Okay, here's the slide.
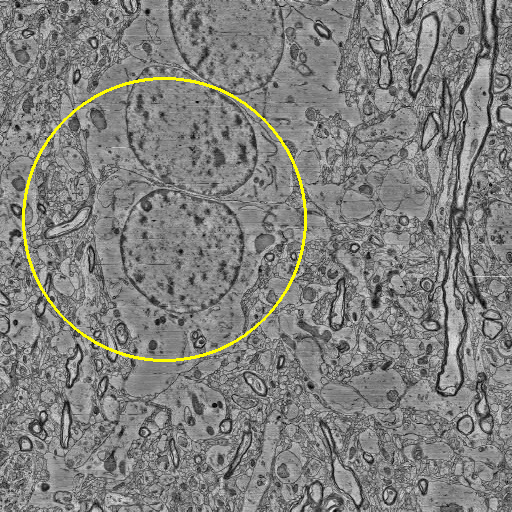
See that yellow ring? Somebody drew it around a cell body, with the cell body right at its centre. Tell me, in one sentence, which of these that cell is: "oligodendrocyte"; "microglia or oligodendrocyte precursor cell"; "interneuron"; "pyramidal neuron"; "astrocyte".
The cell in the middle of the ring is an astrocyte.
